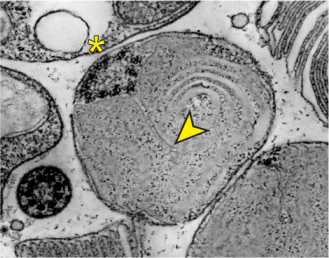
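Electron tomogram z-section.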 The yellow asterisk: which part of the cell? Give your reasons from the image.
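A dark, densely granular region lies at one edge of the disc stack. It sits within the same membrane-bound profile as the discs. On this evidence: ciliary axoneme.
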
